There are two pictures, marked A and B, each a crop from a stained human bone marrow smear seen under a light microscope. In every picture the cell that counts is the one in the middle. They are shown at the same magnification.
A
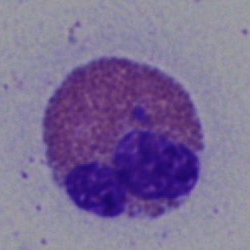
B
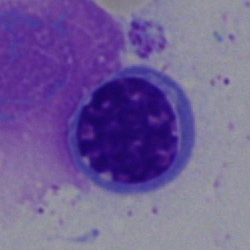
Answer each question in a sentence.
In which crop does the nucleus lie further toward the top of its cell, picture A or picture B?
Seen within its cell, the nucleus in picture B lies further toward the top.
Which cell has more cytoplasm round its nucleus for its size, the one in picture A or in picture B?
The nucleus fills less of the cell in picture A than in picture B.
